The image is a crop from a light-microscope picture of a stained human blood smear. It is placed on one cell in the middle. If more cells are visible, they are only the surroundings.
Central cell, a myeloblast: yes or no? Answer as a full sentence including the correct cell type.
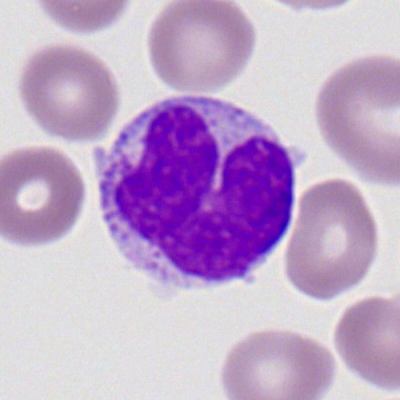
No, the centrally placed cell is a monocyte, not a myeloblast.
